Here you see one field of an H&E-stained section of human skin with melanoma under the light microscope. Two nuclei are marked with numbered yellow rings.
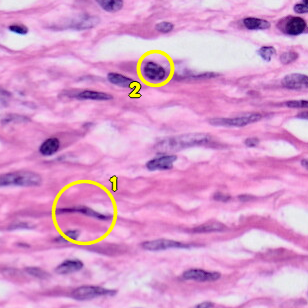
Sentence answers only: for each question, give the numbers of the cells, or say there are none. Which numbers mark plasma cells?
Only cell 2 should be marked as a plasma cell.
